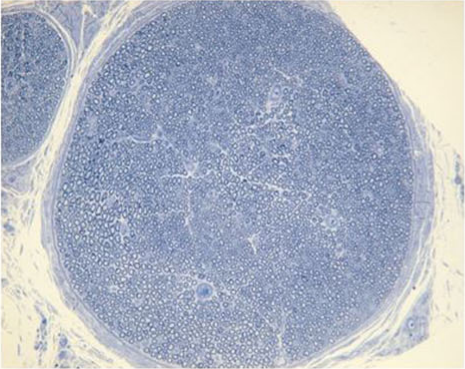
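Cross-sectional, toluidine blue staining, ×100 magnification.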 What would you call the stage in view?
Intact axons and perineurium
